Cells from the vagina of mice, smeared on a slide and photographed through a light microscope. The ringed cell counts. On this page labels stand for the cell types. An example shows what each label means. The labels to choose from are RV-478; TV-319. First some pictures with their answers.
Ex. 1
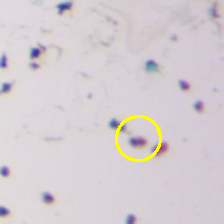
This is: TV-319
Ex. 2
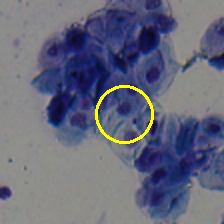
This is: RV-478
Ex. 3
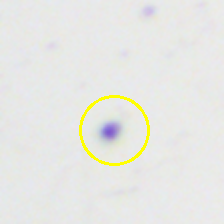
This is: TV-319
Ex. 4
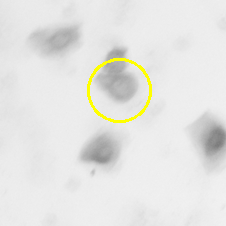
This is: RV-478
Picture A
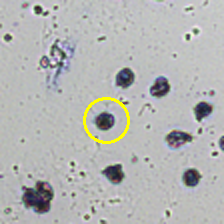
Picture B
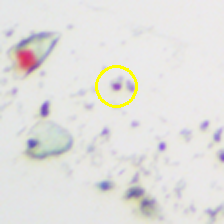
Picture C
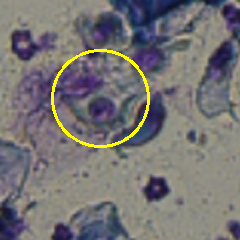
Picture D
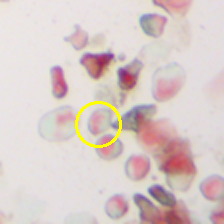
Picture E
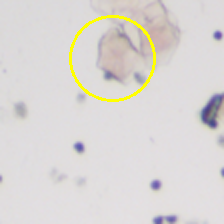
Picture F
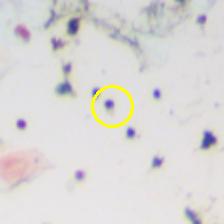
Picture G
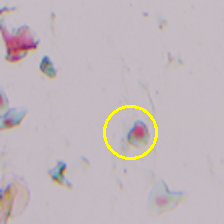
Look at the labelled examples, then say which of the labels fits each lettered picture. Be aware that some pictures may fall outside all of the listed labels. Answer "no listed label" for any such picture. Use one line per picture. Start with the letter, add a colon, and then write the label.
A: TV-319
B: TV-319
C: RV-478
D: RV-478
E: no listed label
F: TV-319
G: RV-478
